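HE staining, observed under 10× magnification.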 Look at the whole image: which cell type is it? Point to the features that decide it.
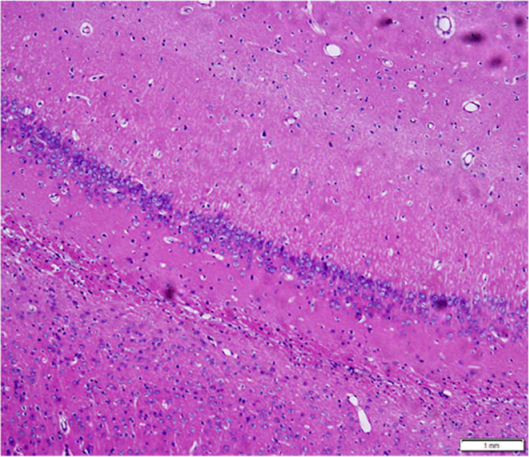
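Cell bodies with purple-stained nuclei are packed in a continuous band several cells thick. The band runs diagonally across the field, with less cellular pink tissue on either side.
Hence: pyramidal neurons.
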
